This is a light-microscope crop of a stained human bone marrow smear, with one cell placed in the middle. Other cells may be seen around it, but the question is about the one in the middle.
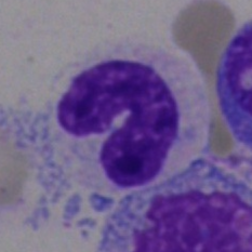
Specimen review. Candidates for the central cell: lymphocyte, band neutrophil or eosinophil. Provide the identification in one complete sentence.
For this crop, the central cell is a band neutrophil.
